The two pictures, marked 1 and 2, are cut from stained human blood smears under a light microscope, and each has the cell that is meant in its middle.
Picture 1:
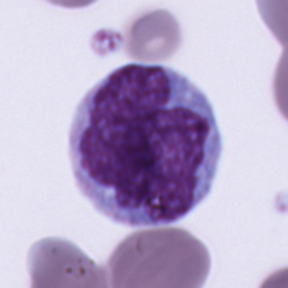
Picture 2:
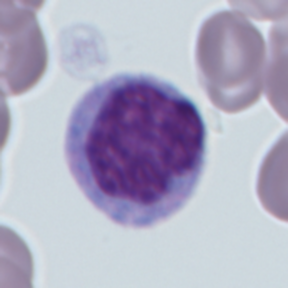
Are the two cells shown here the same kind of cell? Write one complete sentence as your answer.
Yes, they are the same type: both are monocytes.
